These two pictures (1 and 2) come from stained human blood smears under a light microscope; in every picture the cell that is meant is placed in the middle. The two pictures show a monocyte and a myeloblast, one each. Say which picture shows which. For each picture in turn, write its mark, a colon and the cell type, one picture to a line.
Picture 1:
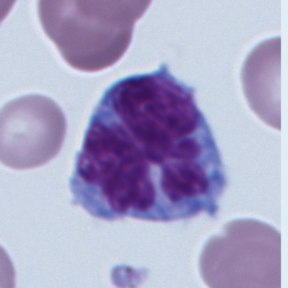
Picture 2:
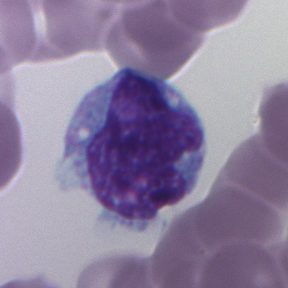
1: myeloblast
2: monocyte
